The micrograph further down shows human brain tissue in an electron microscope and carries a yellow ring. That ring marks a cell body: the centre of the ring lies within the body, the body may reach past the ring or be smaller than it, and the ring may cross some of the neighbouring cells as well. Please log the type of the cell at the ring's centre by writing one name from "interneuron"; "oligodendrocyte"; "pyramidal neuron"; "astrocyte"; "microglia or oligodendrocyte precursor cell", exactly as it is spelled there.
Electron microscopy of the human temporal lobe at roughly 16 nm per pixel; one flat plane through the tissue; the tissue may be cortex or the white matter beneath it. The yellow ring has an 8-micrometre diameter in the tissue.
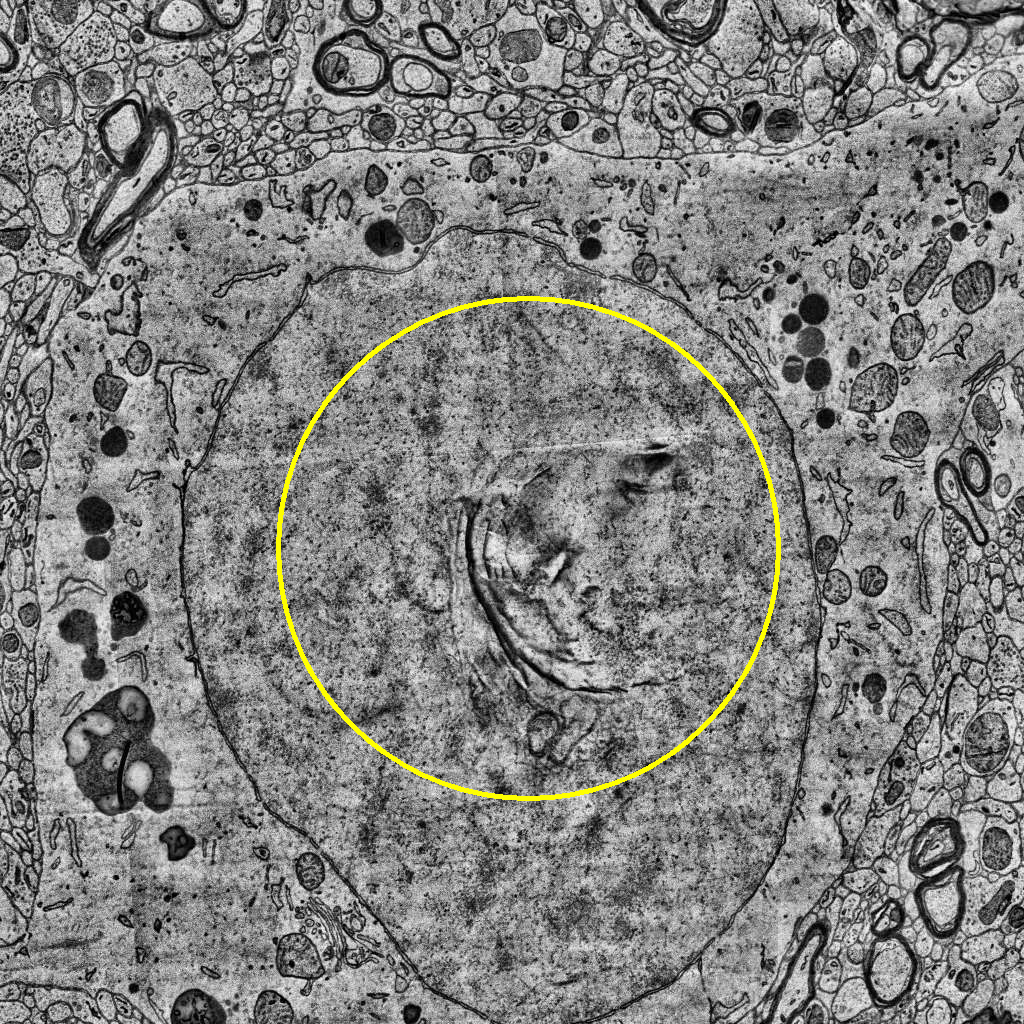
pyramidal neuron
